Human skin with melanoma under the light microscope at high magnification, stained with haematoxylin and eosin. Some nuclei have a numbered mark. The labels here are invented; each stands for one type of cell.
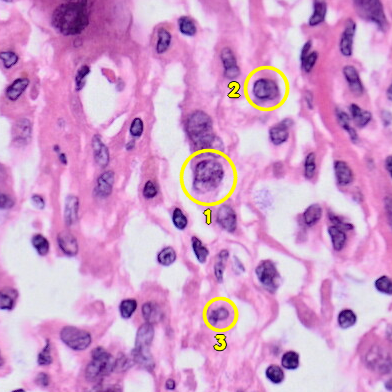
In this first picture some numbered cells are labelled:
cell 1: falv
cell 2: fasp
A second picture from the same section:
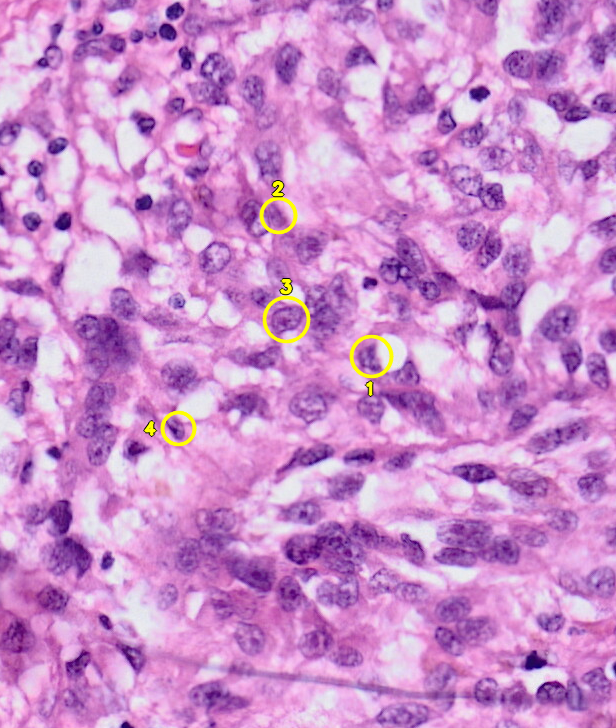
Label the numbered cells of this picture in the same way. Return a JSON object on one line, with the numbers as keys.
{"1": "falv", "2": "falv", "3": "falv", "4": "fasp"}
